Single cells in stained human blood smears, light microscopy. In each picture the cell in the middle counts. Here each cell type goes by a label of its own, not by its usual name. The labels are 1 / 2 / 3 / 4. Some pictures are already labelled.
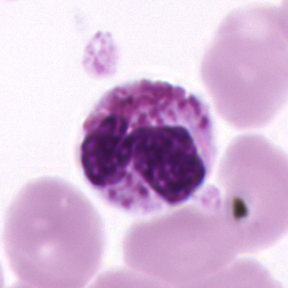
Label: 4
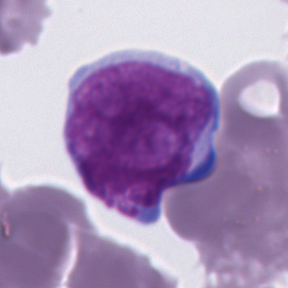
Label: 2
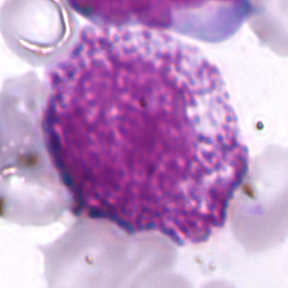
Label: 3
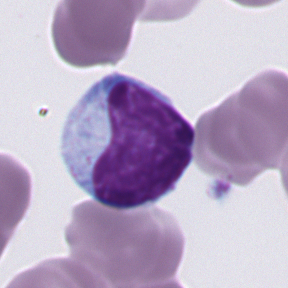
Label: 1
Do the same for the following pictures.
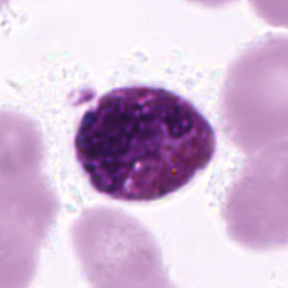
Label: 4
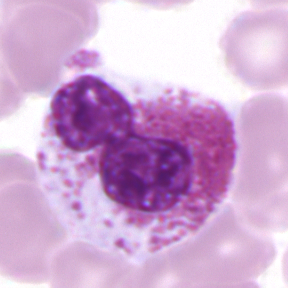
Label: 4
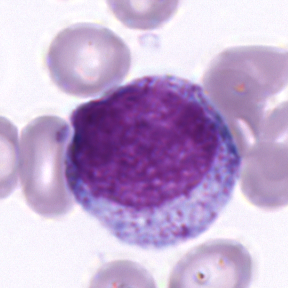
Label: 3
